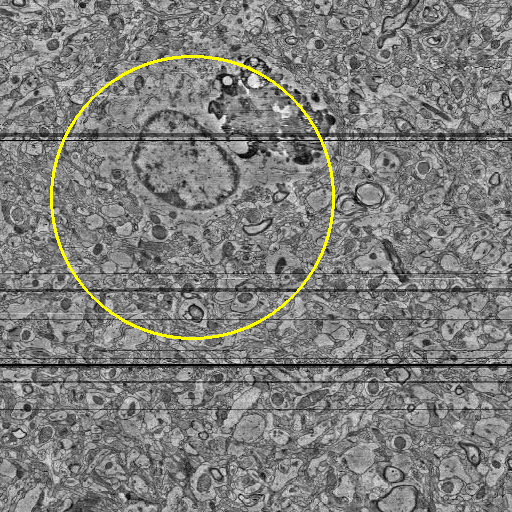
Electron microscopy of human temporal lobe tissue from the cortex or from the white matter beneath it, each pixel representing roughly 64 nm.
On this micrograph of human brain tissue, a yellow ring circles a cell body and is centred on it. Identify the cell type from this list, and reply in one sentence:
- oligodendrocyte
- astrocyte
The cell at the centre is an astrocyte.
